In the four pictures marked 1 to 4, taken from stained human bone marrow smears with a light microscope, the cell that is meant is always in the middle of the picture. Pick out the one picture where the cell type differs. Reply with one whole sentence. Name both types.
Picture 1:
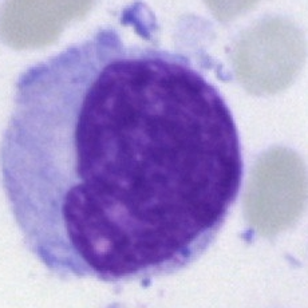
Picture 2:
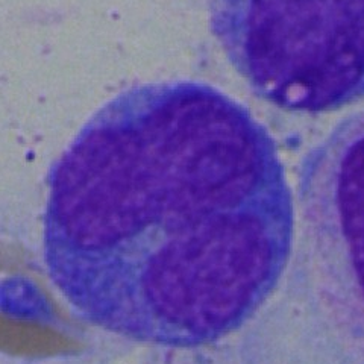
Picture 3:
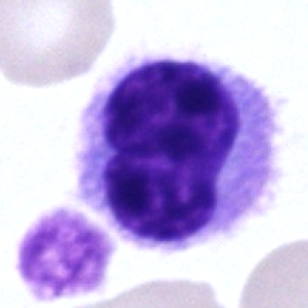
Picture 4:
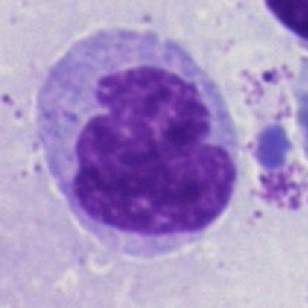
All pictures except 3 show monocytes; picture 3 shows a hairy cell.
